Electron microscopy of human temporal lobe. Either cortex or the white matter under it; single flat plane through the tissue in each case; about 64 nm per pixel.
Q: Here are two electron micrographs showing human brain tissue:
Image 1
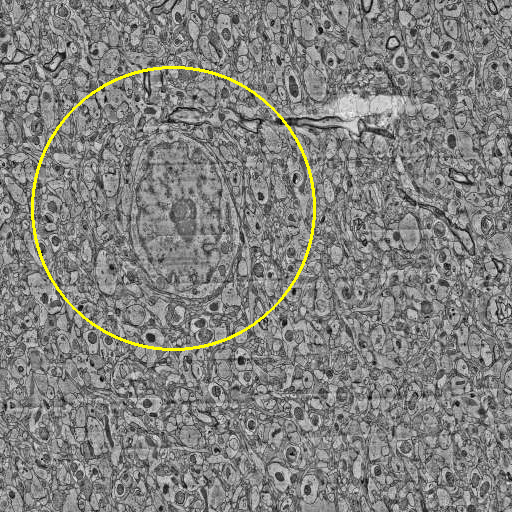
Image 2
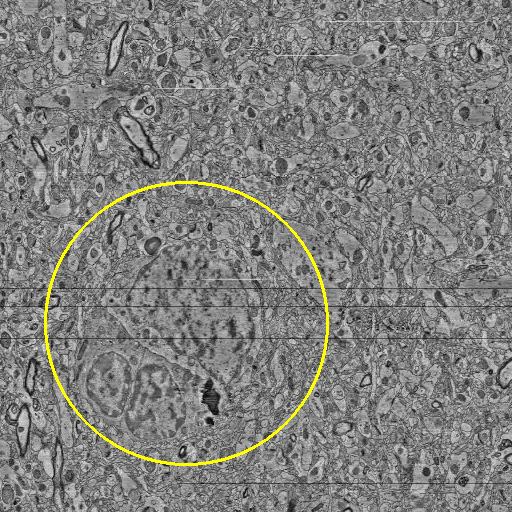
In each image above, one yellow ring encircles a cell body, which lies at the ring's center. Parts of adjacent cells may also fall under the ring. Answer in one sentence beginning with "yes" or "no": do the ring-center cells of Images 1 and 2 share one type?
Yes, in Images 1 and 2, the ring-center cells are both of one type.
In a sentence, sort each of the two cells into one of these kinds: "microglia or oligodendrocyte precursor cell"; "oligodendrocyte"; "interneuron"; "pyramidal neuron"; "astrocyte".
In both pictures the ring is centred on an interneuron.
